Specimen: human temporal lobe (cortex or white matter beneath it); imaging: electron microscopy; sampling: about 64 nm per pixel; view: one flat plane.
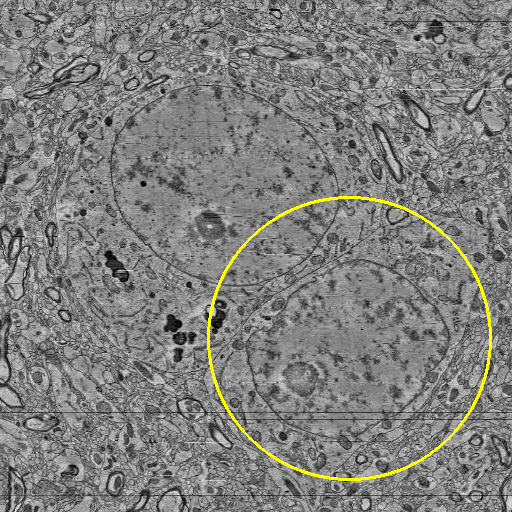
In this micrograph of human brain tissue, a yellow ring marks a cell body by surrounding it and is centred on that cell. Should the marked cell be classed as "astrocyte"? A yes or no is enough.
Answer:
no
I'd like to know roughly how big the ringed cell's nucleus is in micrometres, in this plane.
The nucleus comes to roughly 12 micrometres across in this plane.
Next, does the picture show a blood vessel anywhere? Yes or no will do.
No, the image shows no blood vessel.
